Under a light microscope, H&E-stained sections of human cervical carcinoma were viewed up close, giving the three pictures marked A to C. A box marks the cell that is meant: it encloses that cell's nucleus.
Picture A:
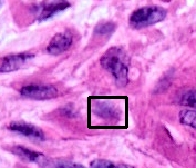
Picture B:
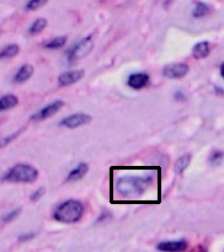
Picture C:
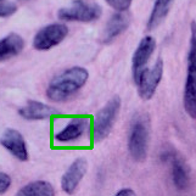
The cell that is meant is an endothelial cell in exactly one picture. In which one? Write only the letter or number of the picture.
B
